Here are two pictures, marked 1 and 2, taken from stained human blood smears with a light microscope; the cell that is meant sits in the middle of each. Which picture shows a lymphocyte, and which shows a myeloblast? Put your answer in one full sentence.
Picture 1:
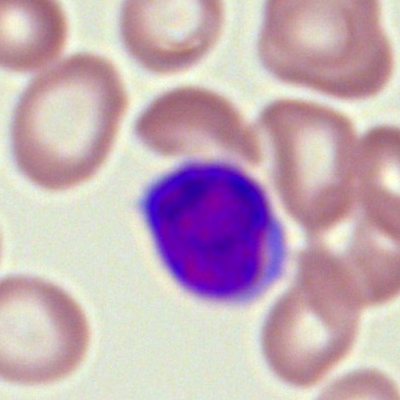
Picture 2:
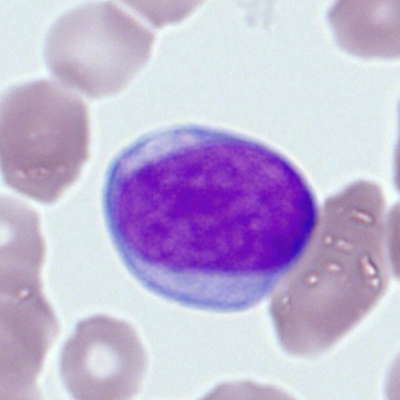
In picture 1 the cell is a lymphocyte; in picture 2, a myeloblast.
